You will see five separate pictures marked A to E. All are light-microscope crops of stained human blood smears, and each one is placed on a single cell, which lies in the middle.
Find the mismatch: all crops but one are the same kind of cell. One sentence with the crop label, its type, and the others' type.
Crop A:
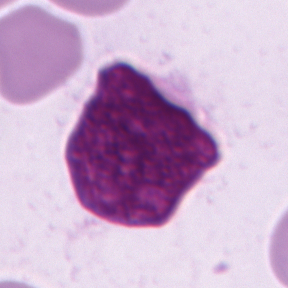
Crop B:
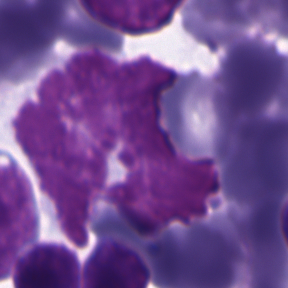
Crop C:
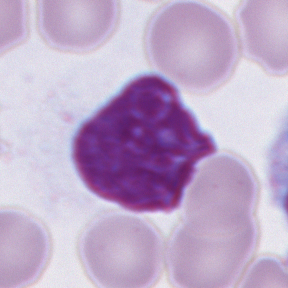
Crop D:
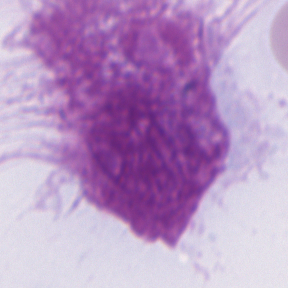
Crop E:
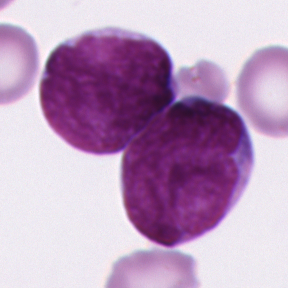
Crop E breaks the pattern with a myeloblast; all the others show smudge cells.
